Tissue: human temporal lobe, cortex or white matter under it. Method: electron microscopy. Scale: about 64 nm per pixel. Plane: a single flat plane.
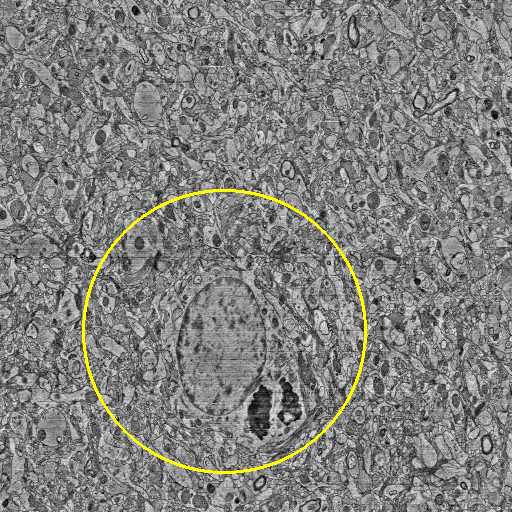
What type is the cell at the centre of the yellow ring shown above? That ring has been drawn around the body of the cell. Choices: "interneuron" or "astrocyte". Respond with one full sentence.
My answer is that an astrocyte lies at the centre of the yellow ring above.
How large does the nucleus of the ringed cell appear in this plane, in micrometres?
Roughly 9 by 6 micrometers, clearly longer than it is wide in this plane.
